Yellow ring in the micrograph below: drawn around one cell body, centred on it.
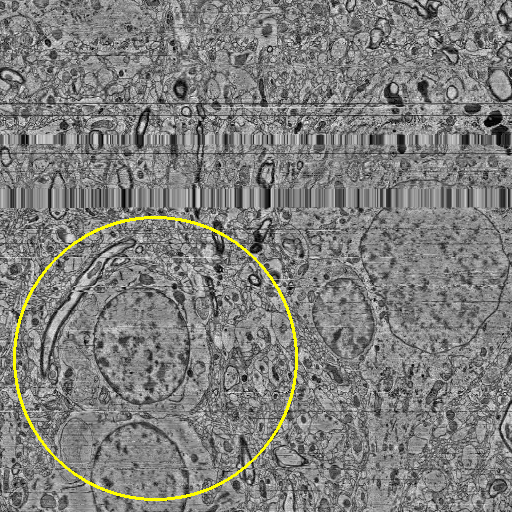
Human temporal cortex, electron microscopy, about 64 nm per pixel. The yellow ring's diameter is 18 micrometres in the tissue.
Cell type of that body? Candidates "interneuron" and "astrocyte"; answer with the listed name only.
astrocyte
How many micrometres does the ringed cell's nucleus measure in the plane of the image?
The nucleus of the ringed cell is approximately 8 by 6 micrometres in this plane.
